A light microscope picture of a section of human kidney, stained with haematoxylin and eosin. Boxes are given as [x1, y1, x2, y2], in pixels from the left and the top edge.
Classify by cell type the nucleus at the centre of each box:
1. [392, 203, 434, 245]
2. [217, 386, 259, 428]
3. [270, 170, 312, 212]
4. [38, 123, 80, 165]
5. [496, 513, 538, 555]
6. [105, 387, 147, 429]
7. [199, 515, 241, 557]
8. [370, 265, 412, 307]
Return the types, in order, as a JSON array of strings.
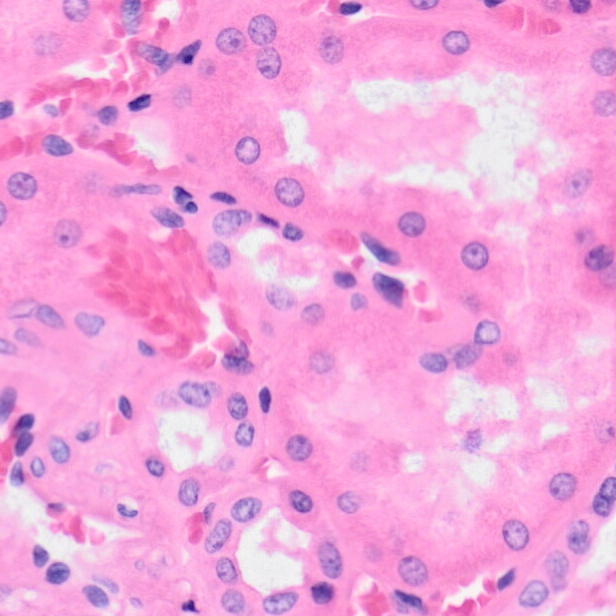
["proximal tubule cell", "collecting duct cell", "proximal tubule cell", "endothelial cell", "proximal tubule cell", "endothelial cell", "collecting duct cell", "endothelial cell"]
